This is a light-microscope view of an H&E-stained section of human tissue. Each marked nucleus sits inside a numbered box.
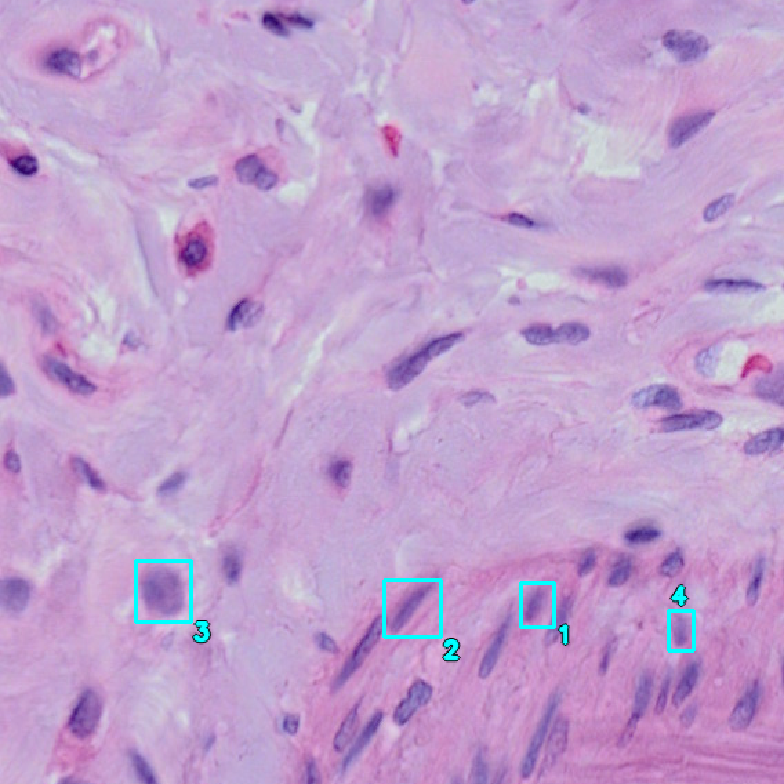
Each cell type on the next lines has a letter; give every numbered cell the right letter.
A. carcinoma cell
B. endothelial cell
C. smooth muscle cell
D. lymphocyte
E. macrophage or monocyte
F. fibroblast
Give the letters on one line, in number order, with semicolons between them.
C; C; F; C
